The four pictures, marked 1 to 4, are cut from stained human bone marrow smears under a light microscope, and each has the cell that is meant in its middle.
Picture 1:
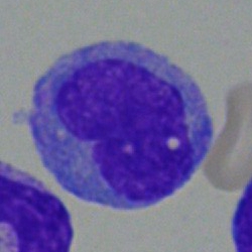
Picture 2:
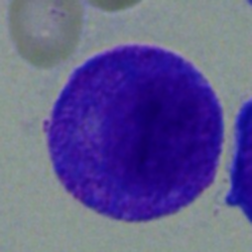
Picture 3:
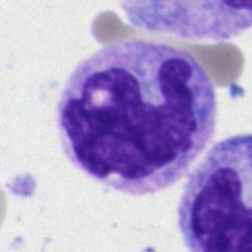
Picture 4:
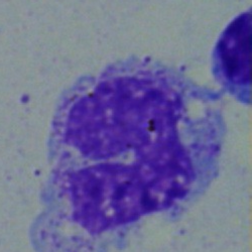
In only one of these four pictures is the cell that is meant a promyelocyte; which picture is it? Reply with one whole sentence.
It is picture 2 that shows the promyelocyte.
